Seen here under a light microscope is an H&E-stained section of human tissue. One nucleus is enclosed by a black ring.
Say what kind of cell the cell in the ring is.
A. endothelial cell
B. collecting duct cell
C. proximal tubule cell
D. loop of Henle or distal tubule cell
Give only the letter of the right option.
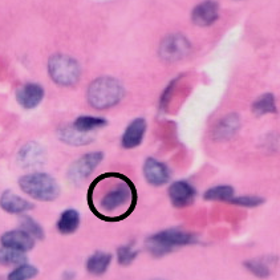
A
